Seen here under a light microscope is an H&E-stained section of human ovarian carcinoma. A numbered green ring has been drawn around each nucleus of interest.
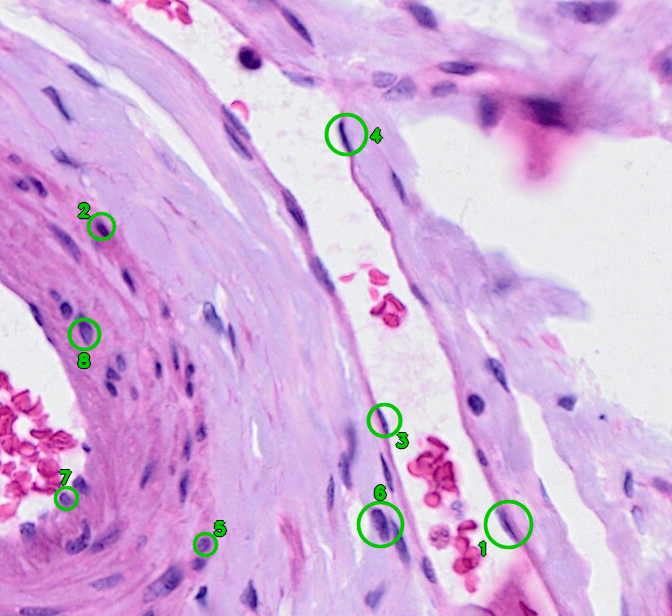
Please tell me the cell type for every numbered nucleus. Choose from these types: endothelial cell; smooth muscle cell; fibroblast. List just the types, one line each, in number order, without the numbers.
endothelial cell
smooth muscle cell
endothelial cell
endothelial cell
smooth muscle cell
fibroblast
endothelial cell
smooth muscle cell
